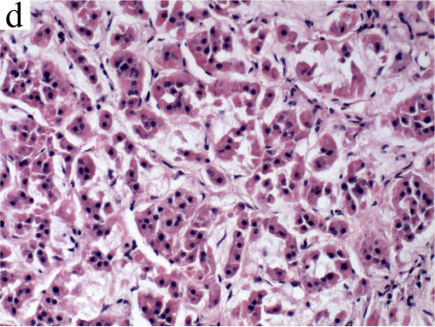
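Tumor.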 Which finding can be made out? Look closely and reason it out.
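Pale, loose, wispy pale-grey material lies between nests of pink cells. The cell nests are pushed apart by this loose material. That points to this answer: edematous stroma.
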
